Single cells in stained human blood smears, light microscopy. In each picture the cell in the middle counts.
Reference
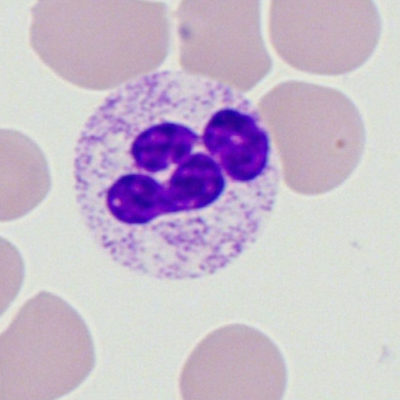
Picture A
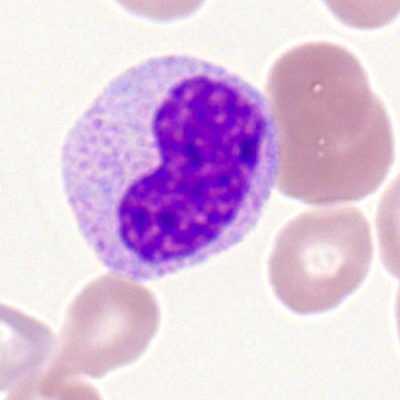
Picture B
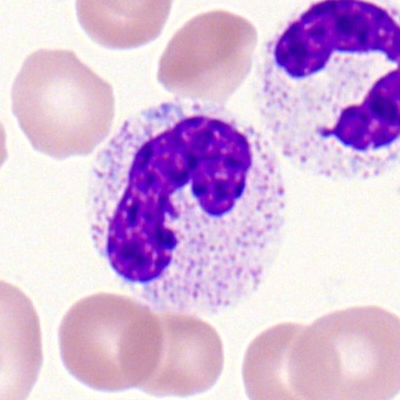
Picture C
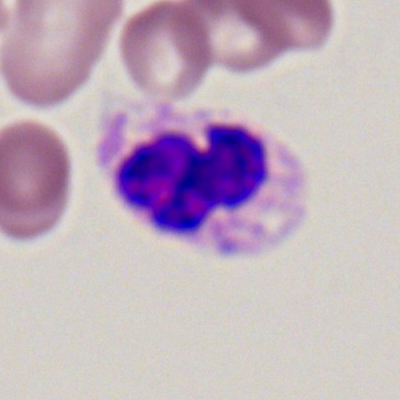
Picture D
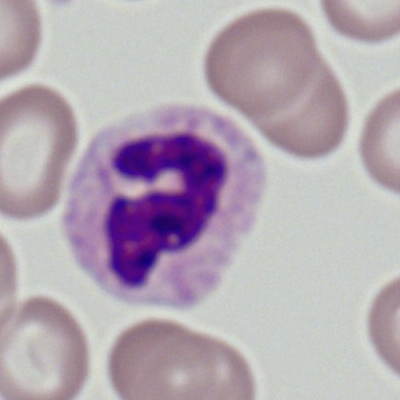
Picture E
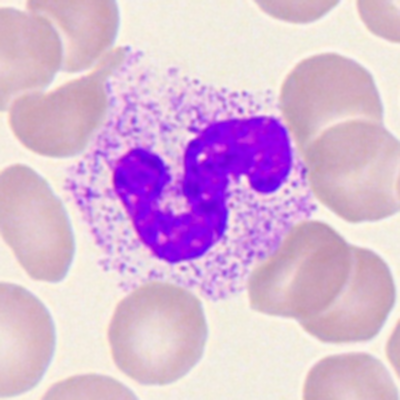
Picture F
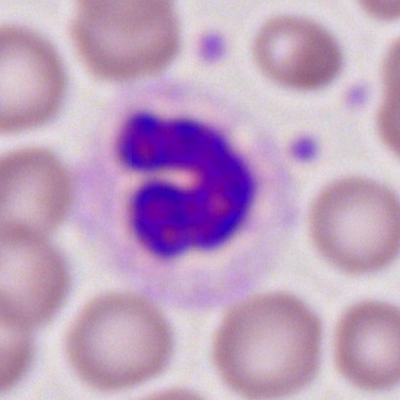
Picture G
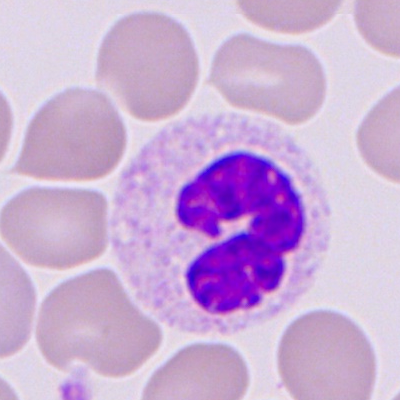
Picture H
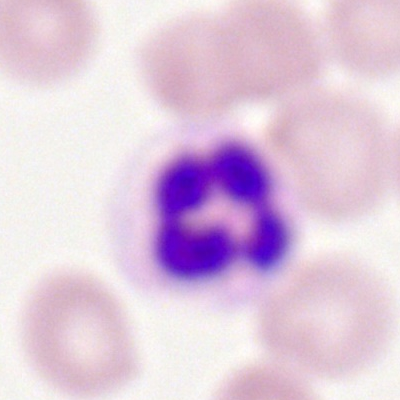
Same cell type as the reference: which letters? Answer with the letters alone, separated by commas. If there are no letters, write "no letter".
C, D, H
